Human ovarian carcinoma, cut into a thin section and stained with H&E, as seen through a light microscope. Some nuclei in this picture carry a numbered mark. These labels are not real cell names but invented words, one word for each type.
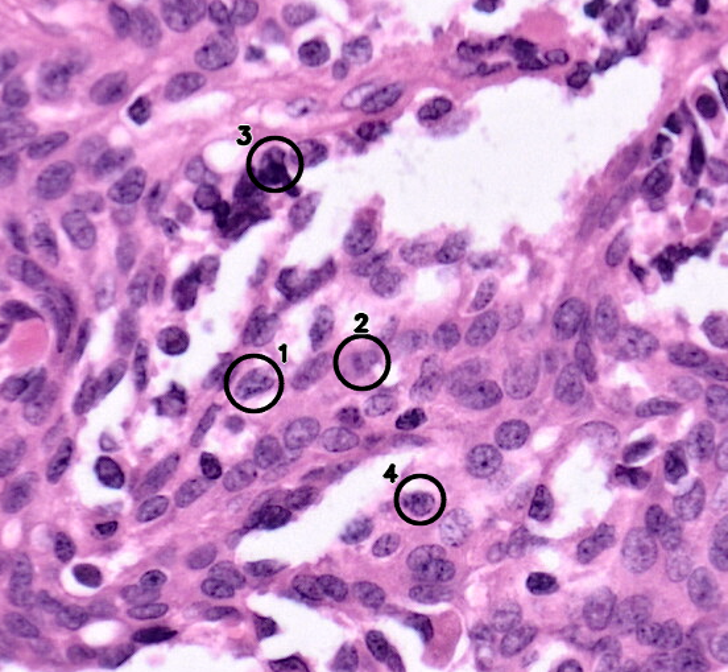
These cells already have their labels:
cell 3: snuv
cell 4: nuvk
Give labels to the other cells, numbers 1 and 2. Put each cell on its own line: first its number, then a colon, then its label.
1: nuvk
2: snuv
